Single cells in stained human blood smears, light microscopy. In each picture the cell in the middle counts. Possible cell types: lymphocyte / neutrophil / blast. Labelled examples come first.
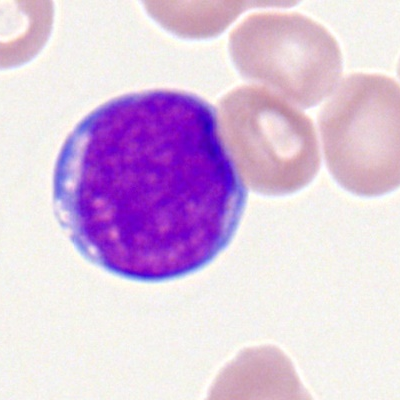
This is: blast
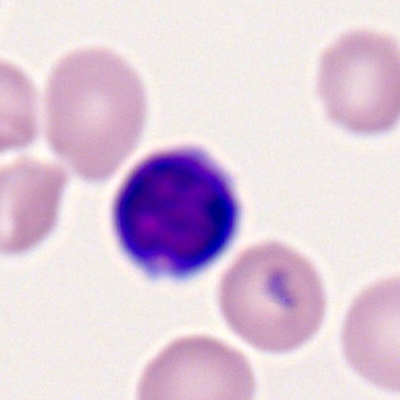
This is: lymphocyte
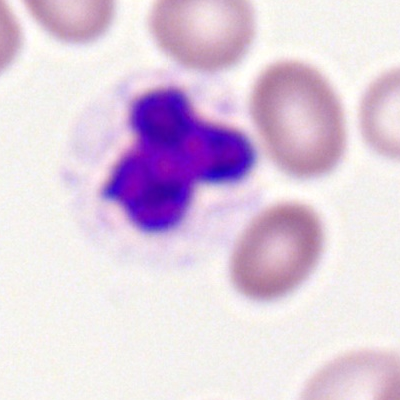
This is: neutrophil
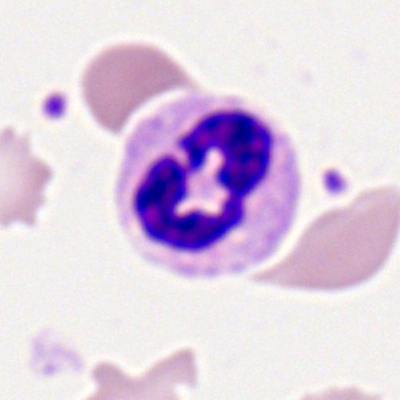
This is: neutrophil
